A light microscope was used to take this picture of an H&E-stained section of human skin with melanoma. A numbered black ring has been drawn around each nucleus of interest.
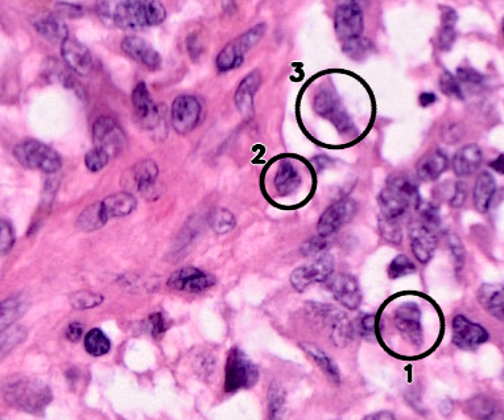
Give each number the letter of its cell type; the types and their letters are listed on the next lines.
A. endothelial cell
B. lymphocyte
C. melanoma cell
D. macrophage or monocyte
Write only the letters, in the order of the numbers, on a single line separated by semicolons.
C; D; C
